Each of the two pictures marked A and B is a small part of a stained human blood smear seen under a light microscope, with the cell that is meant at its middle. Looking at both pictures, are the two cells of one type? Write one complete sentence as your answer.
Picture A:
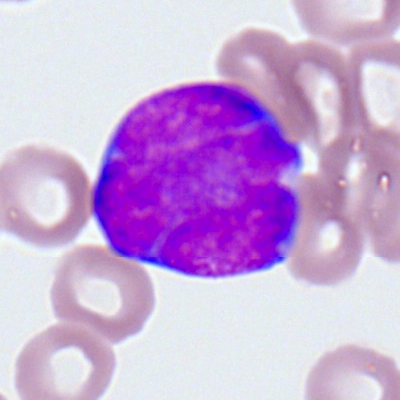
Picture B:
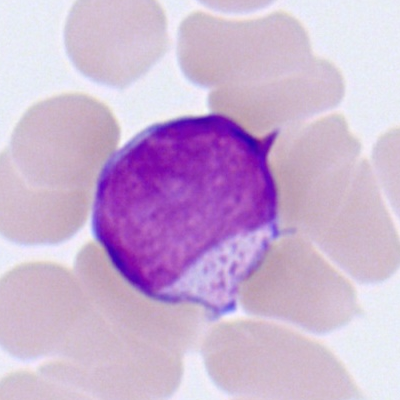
Yes; the cells in both pictures are myeloblasts.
